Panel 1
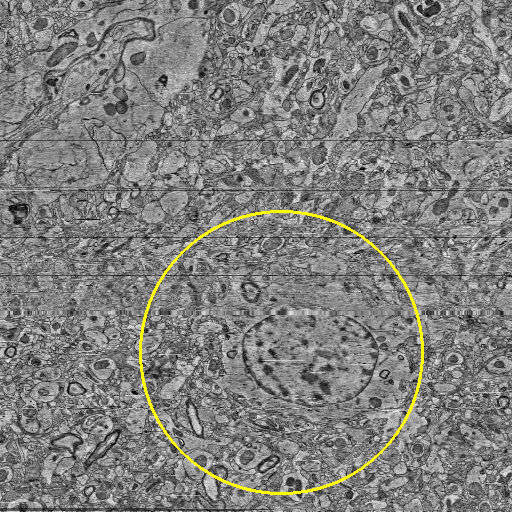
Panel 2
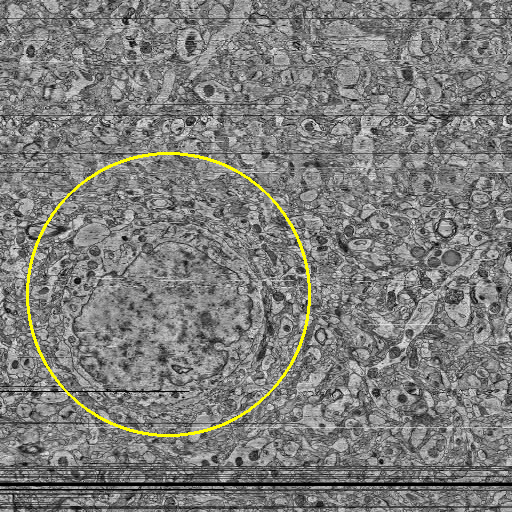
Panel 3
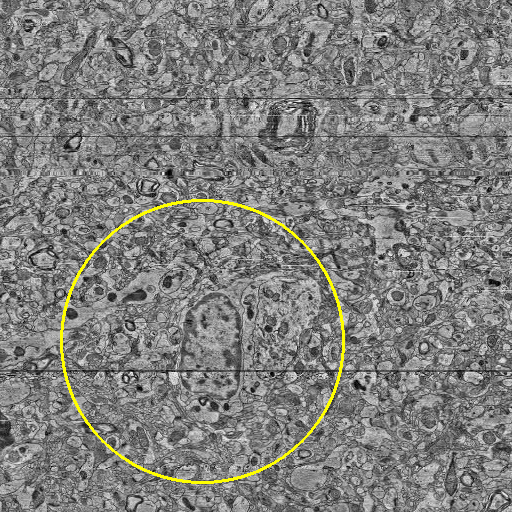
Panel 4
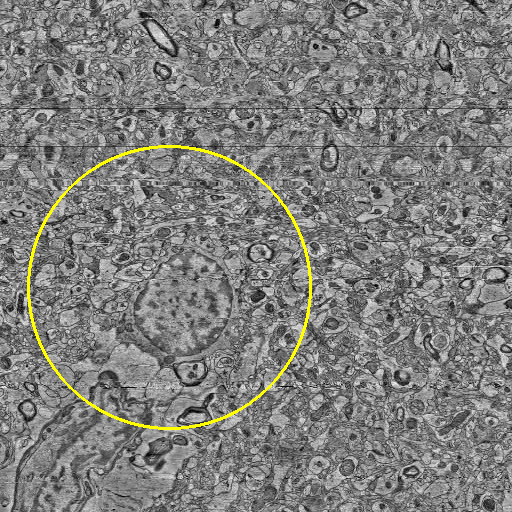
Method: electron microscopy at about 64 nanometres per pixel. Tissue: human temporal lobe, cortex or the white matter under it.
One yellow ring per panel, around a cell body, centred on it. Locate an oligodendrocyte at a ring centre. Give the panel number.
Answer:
4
